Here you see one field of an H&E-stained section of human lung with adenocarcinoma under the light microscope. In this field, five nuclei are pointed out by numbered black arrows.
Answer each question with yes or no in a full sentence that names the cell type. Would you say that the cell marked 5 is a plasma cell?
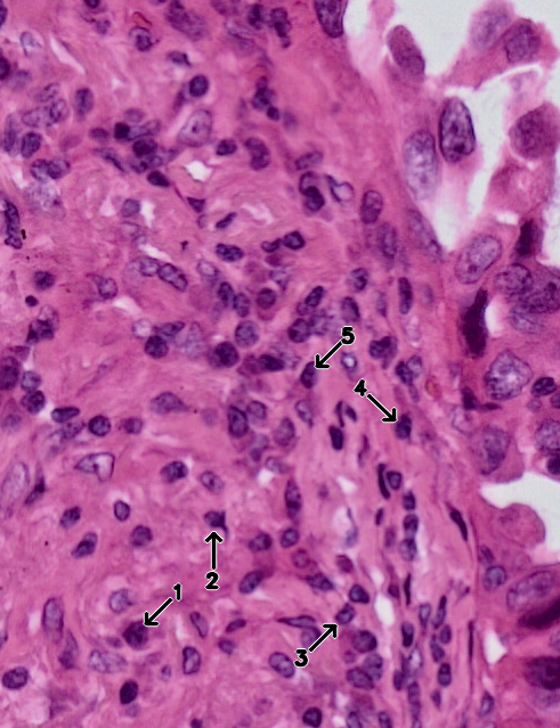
Yes, the cell corresponding to number 5 is a plasma cell.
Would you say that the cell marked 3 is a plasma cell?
No, cell 3, which is a lymphocyte, is not a plasma cell.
